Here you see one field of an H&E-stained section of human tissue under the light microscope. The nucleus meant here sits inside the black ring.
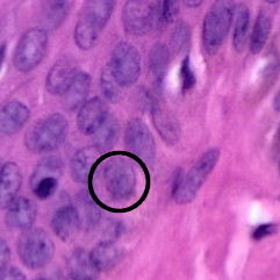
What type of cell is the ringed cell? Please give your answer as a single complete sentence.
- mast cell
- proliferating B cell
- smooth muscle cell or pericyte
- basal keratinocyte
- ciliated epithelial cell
Placed in its cell category, the ringed cell is a basal keratinocyte.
